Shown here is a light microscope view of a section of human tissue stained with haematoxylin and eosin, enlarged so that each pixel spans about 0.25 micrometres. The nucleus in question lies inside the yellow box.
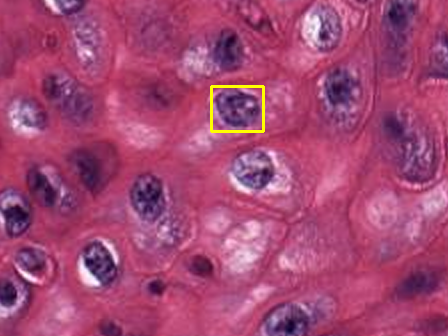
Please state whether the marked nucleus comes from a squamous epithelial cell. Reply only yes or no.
yes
